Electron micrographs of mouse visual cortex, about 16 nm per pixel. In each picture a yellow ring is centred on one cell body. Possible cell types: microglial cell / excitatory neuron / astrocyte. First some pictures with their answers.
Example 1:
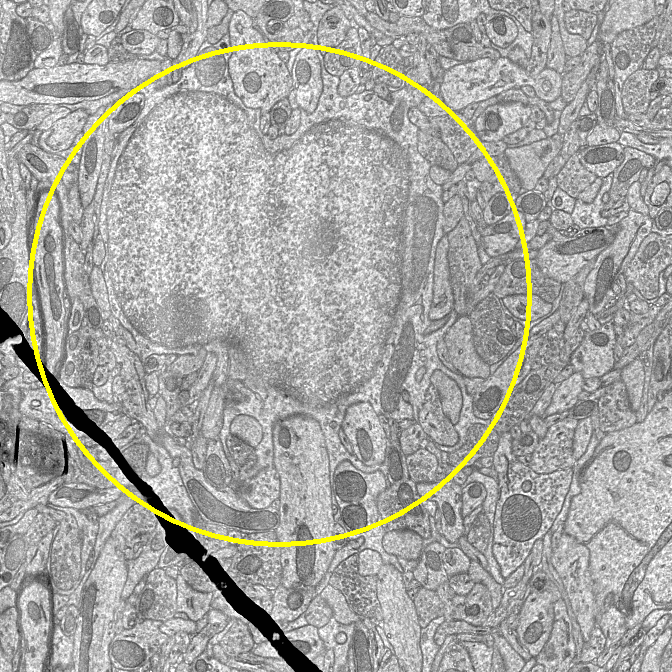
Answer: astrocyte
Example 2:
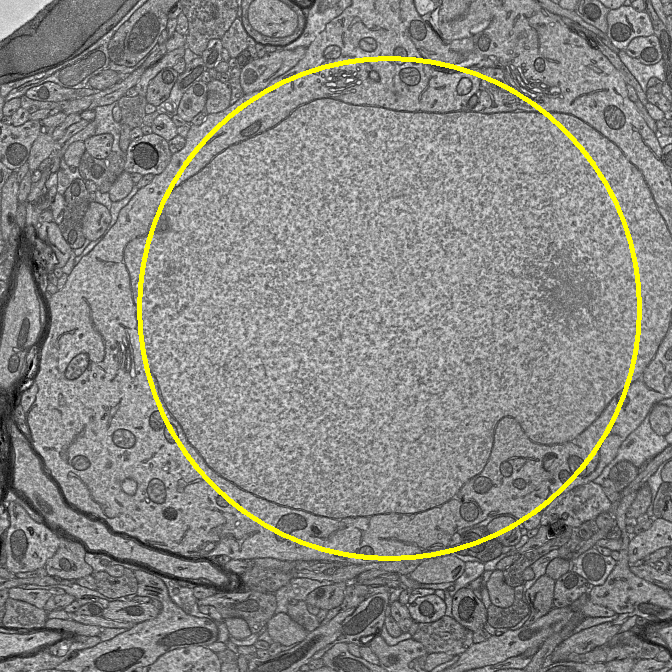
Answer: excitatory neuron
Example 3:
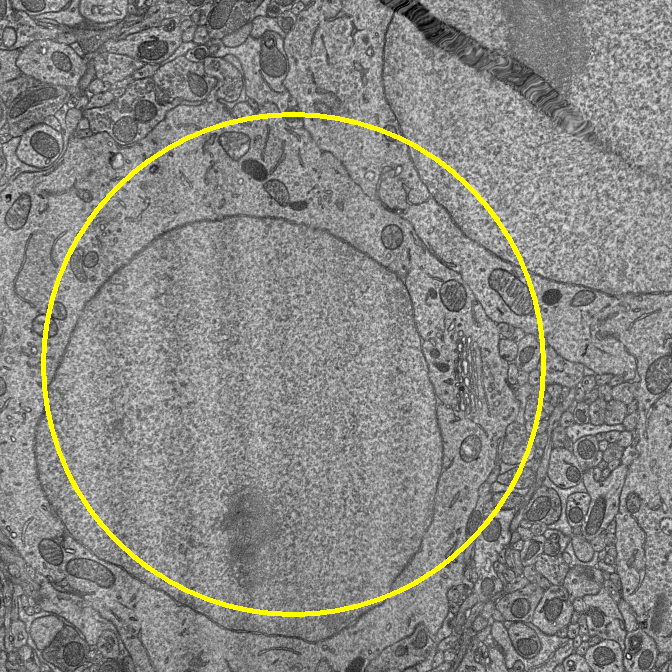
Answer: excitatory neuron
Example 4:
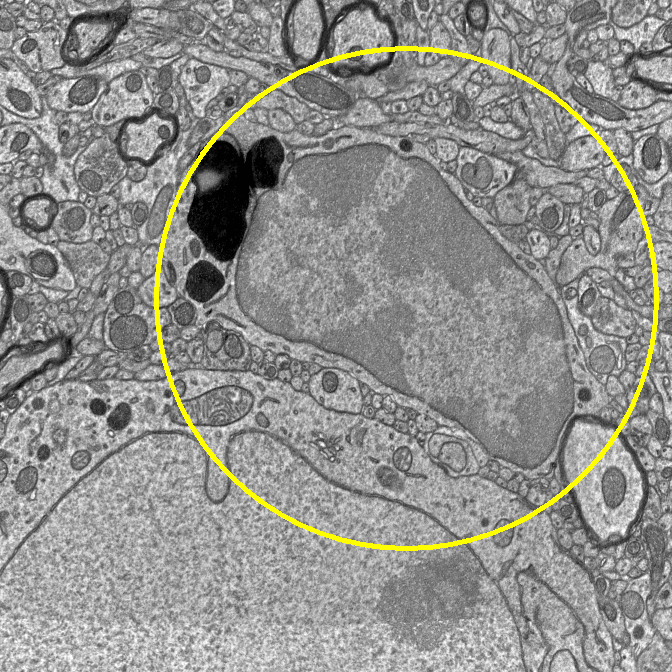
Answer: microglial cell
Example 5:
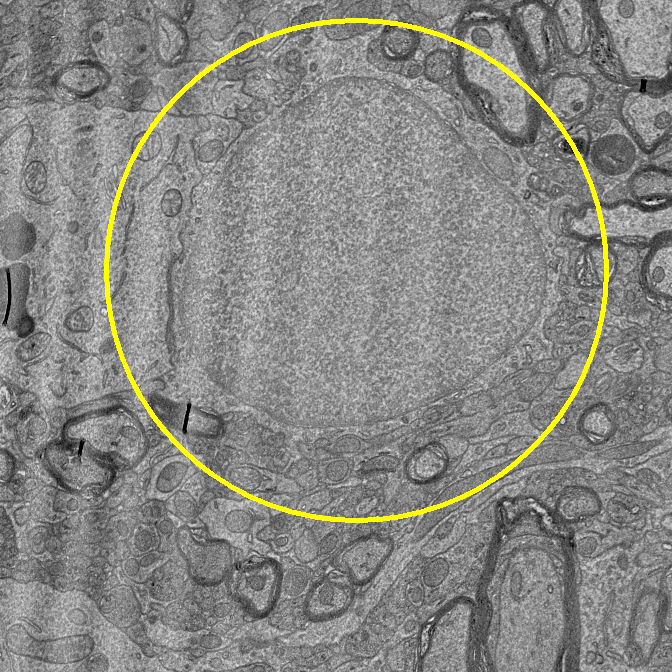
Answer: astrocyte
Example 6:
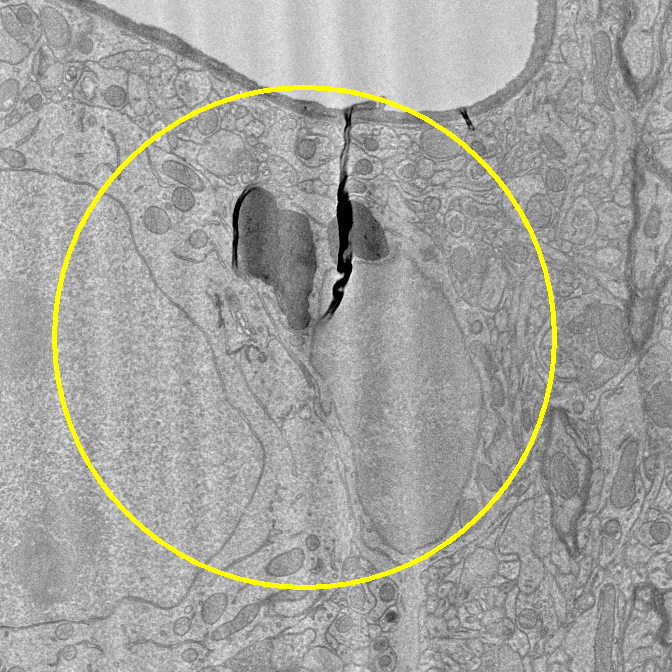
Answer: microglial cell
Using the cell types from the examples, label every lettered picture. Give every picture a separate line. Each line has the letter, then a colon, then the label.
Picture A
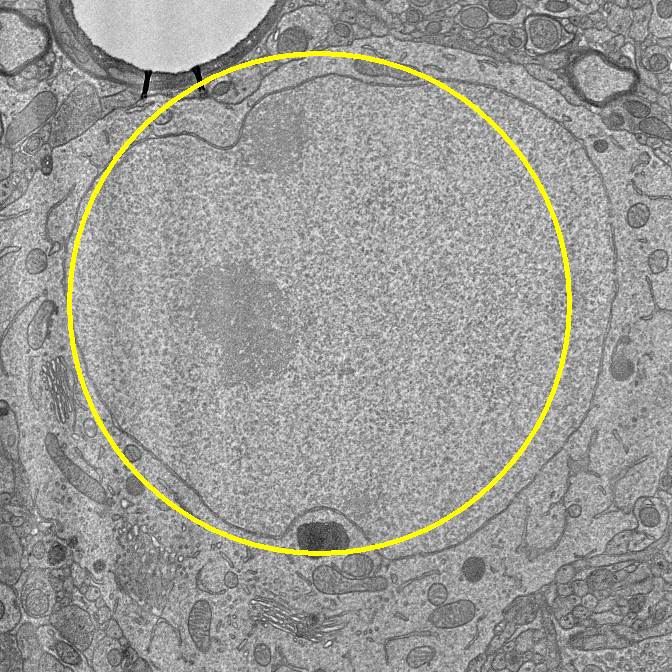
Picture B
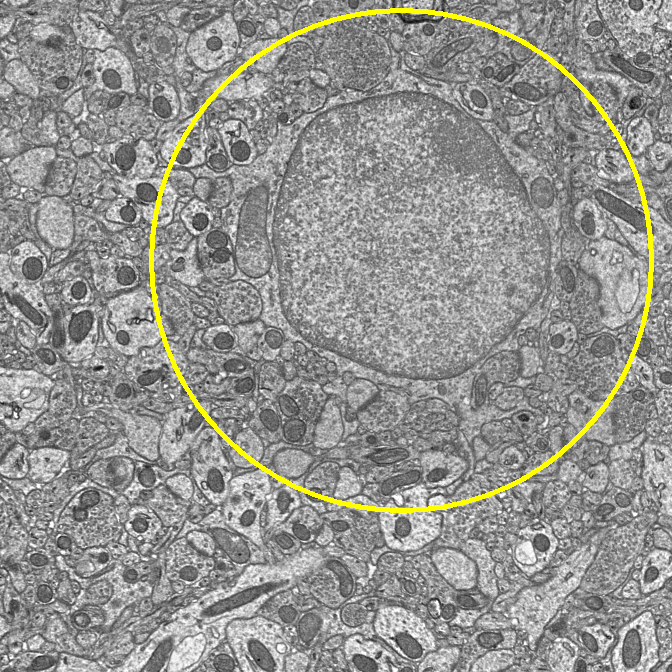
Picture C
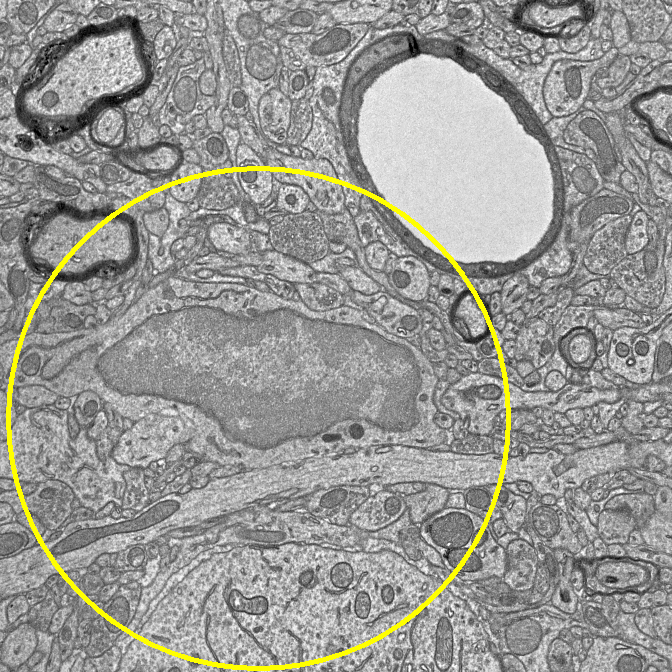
A: excitatory neuron
B: astrocyte
C: microglial cell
